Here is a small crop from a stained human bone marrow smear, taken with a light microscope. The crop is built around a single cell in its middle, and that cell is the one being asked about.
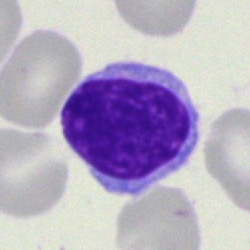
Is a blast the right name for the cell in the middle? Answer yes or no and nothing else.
no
